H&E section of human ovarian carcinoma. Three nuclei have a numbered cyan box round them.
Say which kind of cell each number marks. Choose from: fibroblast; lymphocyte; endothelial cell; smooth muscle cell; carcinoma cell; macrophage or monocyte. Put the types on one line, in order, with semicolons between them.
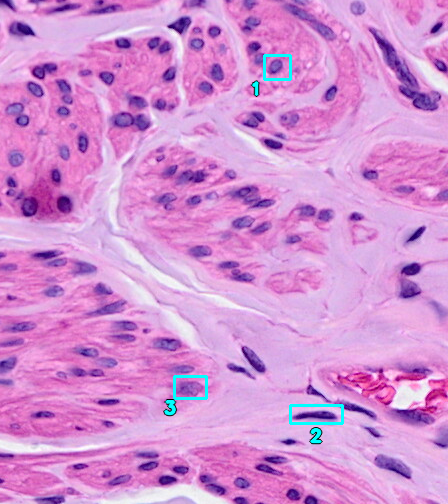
smooth muscle cell; fibroblast; smooth muscle cell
